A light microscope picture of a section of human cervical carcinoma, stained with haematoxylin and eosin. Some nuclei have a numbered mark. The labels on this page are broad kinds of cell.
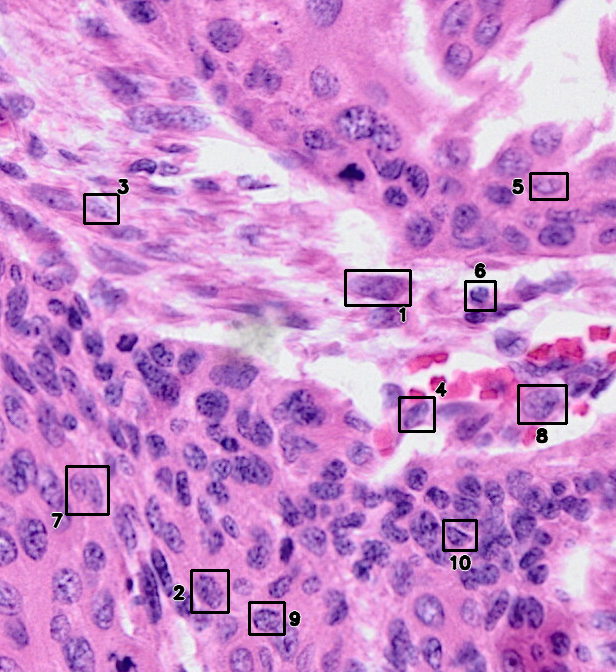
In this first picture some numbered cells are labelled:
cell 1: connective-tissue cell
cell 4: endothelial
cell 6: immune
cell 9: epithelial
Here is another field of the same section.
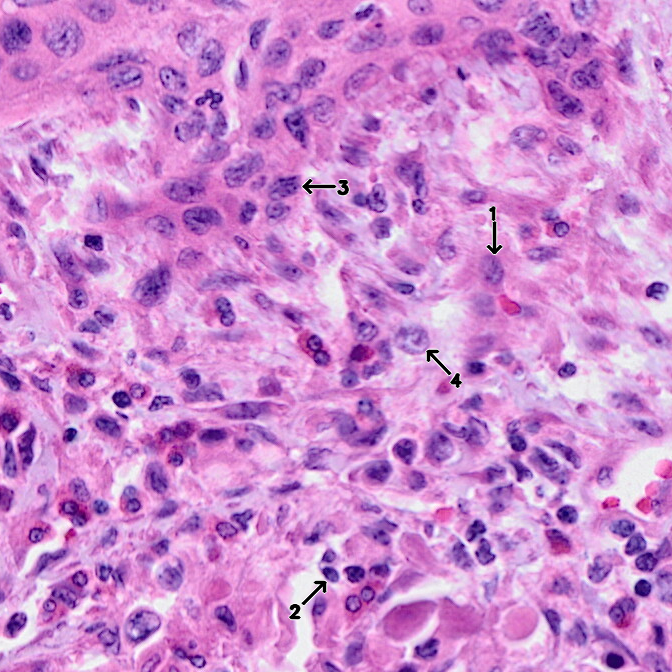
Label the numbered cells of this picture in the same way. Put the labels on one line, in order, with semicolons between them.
endothelial; immune; epithelial; connective-tissue cell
